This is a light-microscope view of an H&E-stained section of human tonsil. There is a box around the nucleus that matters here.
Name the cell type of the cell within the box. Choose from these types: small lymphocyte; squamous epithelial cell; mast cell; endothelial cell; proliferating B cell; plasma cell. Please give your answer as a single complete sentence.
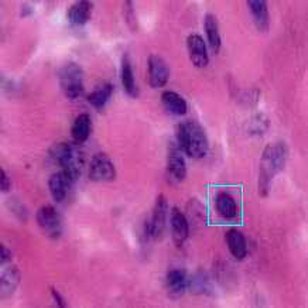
The identity of the cell within the box: it is a mast cell.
